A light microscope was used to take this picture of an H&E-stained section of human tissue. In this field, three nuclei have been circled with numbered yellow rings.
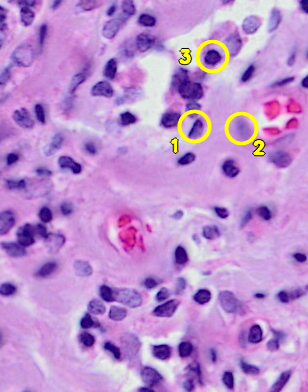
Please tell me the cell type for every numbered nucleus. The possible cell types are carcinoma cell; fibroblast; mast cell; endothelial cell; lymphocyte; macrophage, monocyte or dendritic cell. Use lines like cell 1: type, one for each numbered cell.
cell 1: lymphocyte
cell 2: endothelial cell
cell 3: lymphocyte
